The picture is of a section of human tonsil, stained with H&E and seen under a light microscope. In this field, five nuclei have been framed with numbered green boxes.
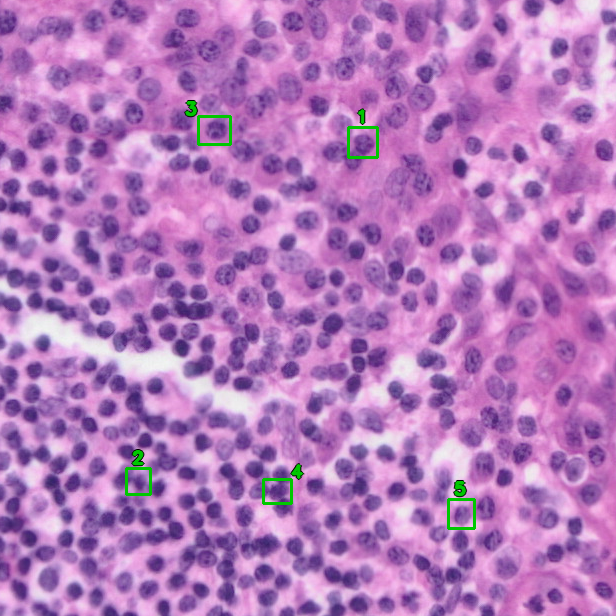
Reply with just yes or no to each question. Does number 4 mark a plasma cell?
no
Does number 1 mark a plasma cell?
yes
